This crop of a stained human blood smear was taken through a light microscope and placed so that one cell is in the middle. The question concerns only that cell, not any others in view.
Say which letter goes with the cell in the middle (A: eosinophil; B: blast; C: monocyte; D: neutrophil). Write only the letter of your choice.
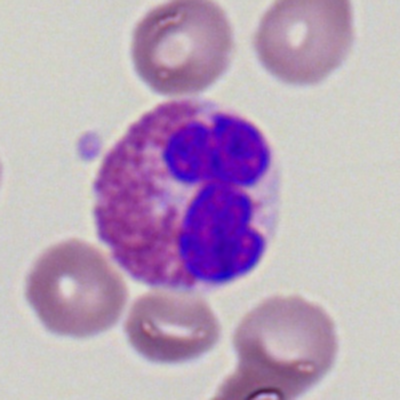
A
